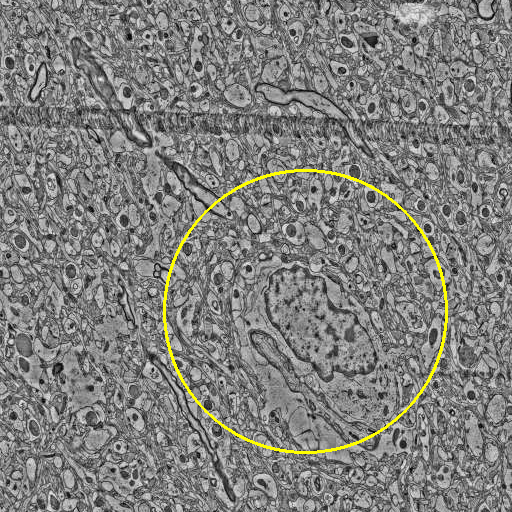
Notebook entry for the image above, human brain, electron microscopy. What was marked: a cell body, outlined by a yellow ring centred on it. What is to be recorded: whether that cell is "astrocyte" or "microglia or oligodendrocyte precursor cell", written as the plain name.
microglia or oligodendrocyte precursor cell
